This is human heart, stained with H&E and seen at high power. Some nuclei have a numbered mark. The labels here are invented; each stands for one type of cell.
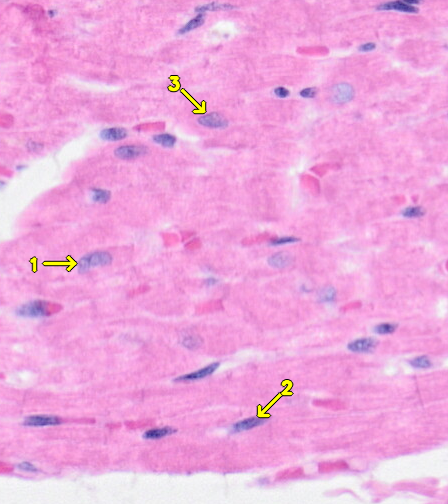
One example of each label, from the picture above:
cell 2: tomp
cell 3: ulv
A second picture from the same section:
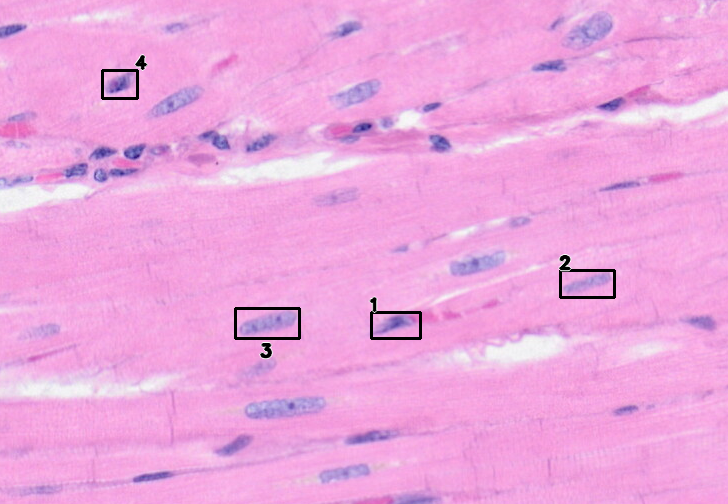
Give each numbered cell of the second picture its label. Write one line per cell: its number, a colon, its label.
1: tomp
2: ulv
3: ulv
4: tomp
